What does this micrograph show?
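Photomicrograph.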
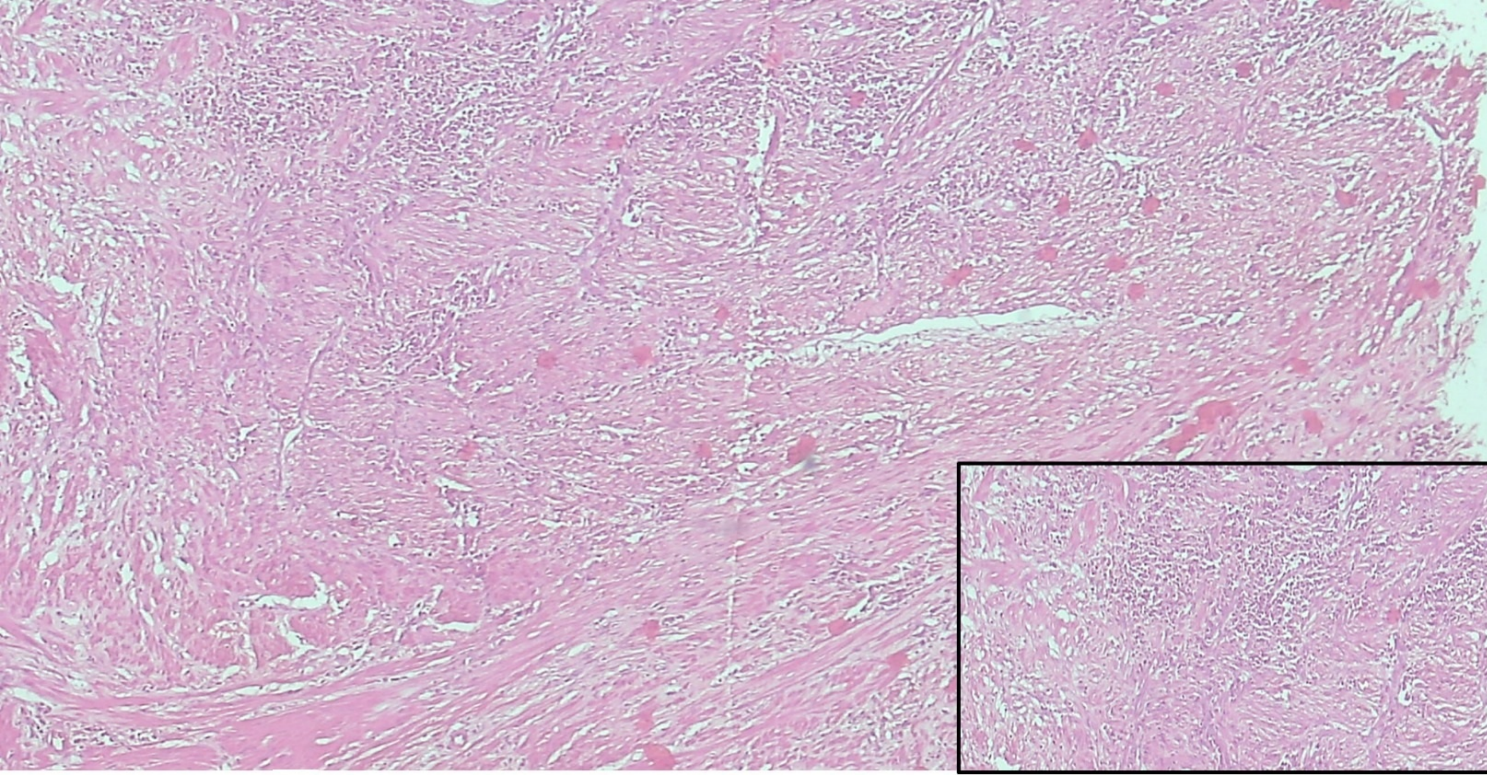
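Spindle cells with pink cytoplasm and elongated nuclei lie in interlacing fascicles that sweep across the field, with small slit-like vessels between them. Scattered clusters of small round dark nuclei of inflammatory cells are mixed among the bundles, most densely in the upper part and in the inset.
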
